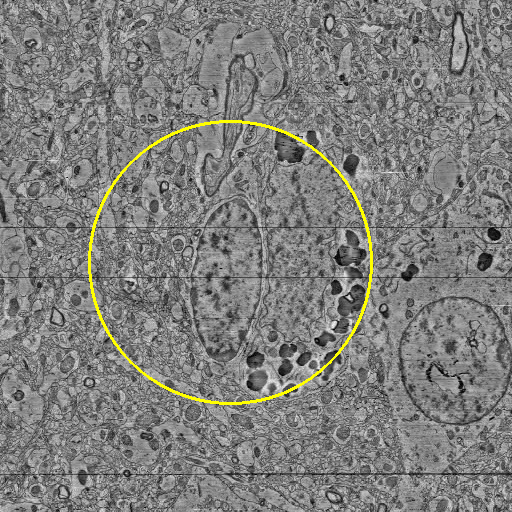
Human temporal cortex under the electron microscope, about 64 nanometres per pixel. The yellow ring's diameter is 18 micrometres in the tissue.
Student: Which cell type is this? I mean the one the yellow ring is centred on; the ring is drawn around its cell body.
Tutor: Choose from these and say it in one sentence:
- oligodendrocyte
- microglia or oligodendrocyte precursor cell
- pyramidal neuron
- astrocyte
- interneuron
The cell the ring is centred on is a microglial cell or oligodendrocyte precursor cell.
